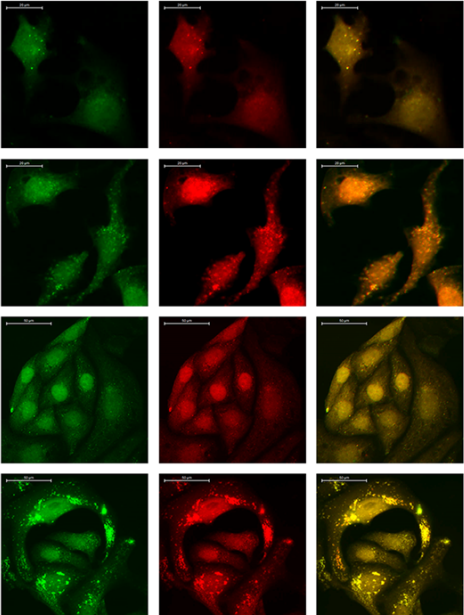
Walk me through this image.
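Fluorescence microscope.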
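The cells are spread flat, with irregular, polygonal or spindle outlines and broad cytoplasm. Fluorescence fills the cytoplasm diffusely, and in some cells also the rounded nucleus, which appears as a brighter oval. Scattered over this haze are small bright dots. Where green and red coincide in the overlay they appear yellow; red-only dots appear orange-red.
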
